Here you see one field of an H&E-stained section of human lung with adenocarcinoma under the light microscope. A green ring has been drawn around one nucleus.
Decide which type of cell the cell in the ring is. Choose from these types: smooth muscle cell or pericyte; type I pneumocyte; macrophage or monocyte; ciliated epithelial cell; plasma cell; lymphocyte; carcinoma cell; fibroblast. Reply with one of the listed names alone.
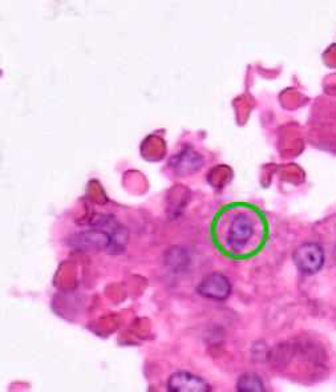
macrophage or monocyte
